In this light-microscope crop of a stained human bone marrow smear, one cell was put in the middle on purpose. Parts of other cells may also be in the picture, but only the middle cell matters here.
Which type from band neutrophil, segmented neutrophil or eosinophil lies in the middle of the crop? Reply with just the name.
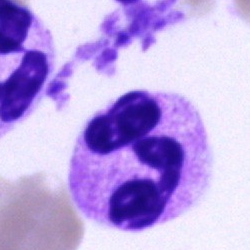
segmented neutrophil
